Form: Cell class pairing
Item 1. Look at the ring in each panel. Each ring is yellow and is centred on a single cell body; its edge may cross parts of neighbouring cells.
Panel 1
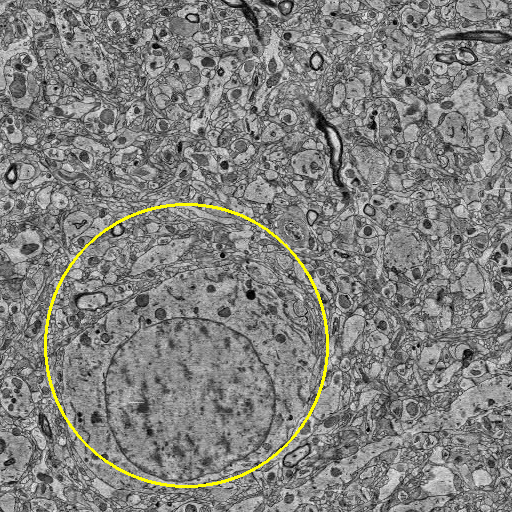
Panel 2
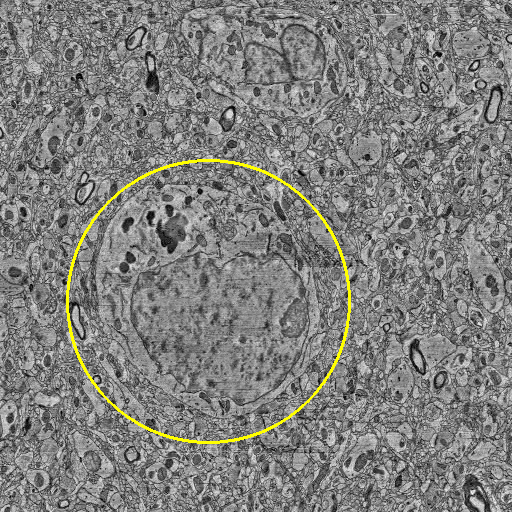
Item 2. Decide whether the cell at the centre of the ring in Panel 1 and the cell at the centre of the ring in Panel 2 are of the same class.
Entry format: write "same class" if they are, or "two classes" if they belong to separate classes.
two classes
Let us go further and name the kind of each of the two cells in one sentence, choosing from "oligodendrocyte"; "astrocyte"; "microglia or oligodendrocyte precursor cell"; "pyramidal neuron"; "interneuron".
The ring of the first picture is on a pyramidal neuron, the ring of the second on an interneuron.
